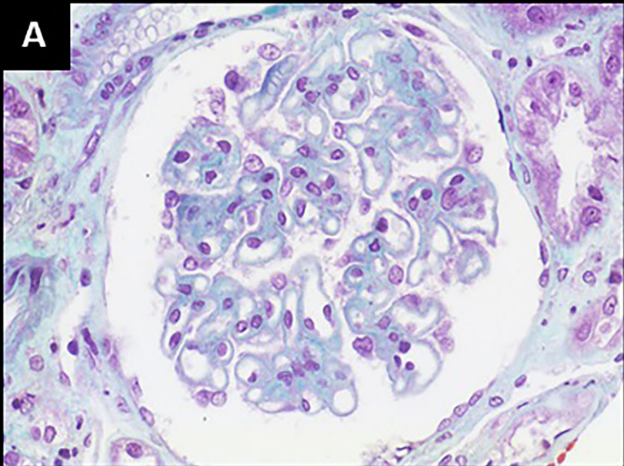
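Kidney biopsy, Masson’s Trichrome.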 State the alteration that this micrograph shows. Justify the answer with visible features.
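A glomerular tuft fills the center, surrounded by an open urinary space and Bowman's capsule. Capillary loop walls throughout the tuft appear as thick, rigid blue-green outlines. On this evidence: Global glomerular basement membrane thickening.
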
